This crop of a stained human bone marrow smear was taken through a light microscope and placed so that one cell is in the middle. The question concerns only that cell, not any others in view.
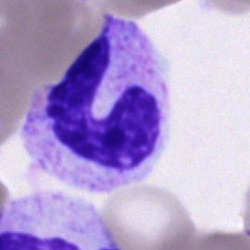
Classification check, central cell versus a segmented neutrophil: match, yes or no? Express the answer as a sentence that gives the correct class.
No, it is a band neutrophil rather than a segmented neutrophil that the middle of the crop contains.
